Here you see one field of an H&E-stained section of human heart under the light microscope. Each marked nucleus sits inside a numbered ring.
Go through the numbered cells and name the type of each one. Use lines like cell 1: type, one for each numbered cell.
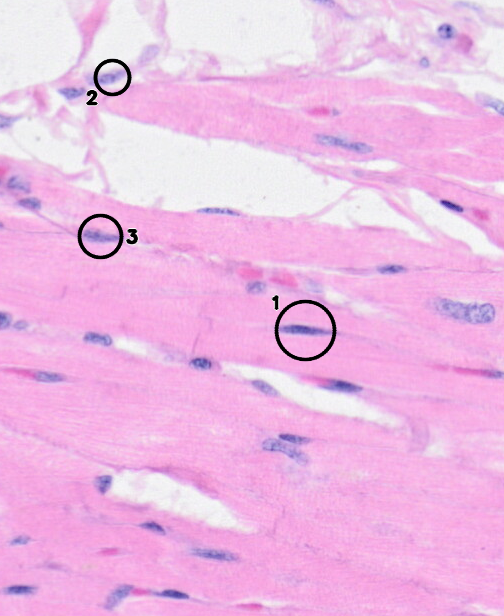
cell 1: endothelial cell
cell 2: fibroblast
cell 3: fibroblast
